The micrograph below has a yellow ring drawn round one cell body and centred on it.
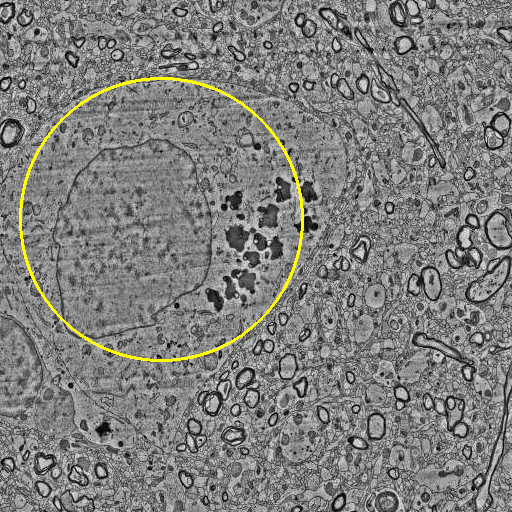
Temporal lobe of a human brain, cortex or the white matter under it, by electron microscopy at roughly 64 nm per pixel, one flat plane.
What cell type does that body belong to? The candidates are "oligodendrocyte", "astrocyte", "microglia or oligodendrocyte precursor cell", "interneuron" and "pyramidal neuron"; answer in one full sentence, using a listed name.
This is a pyramidal neuron, the cell whose body lies at the centre of the ring.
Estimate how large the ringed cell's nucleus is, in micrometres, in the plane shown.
In this plane, approximately 14 by 10 micrometers.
